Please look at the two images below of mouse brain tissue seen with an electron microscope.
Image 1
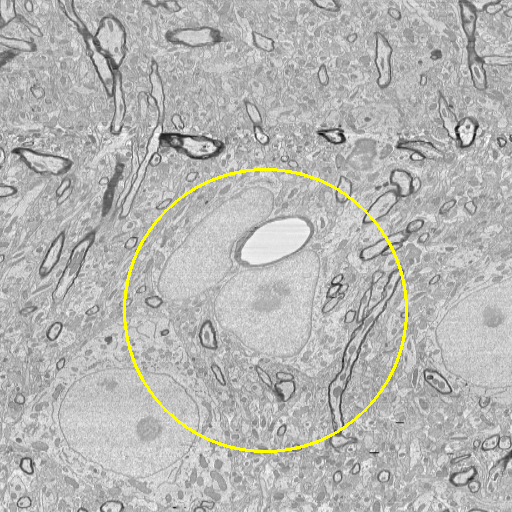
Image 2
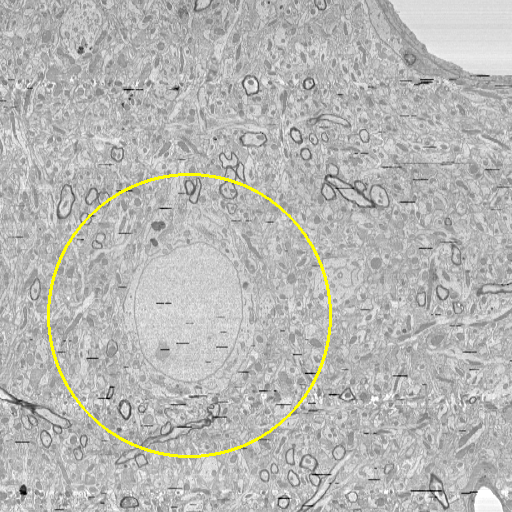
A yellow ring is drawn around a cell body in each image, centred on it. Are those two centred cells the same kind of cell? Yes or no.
no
